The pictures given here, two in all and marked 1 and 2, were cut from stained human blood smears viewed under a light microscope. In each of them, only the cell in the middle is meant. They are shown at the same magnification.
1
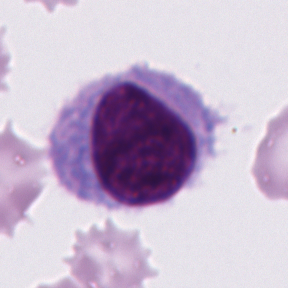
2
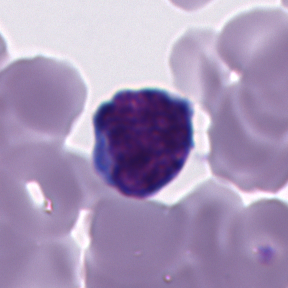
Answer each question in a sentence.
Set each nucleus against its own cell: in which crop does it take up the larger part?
It is the cell in crop 2 that is filled more by its nucleus.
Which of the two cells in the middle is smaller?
Smaller is the cell in crop 2, and the other is about 2 times as large in area.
